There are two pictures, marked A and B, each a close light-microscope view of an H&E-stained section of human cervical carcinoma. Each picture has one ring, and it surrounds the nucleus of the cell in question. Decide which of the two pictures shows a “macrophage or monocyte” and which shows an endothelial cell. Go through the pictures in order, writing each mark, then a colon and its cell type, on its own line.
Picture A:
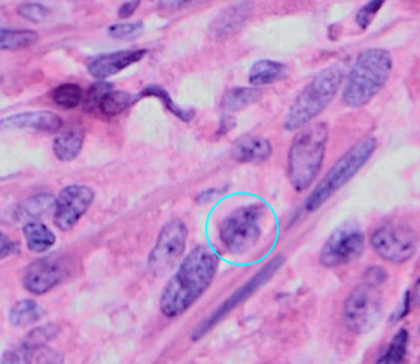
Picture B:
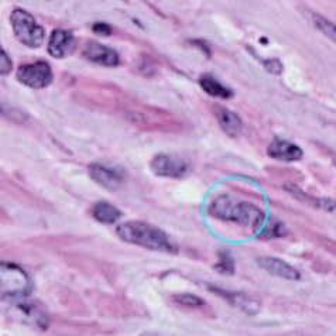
A: macrophage or monocyte
B: endothelial cell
